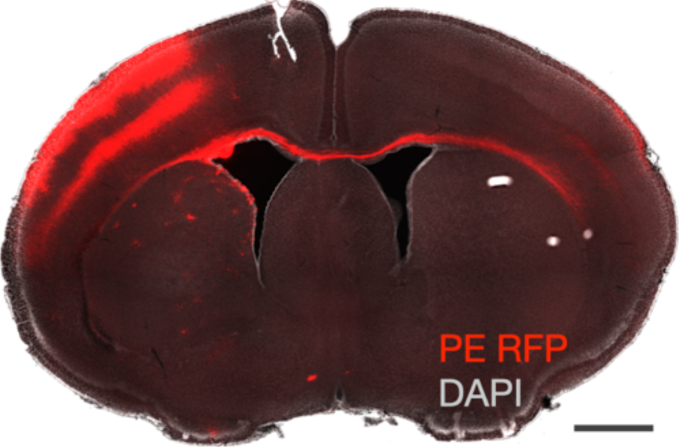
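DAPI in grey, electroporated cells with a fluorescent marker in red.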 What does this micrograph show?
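This is a coronal section through the whole forebrain. The two hemispheres sit side by side with a midline gap between them, and the lateral ventricles are seen as dark clefts near the centre. In the cortex of one hemisphere, on its lateral side, a bright red band follows the curve of the surface, lying in the upper layers. A thinner red line runs along the white matter above the ventricles, probably labelled fibres crossing toward the midline.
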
